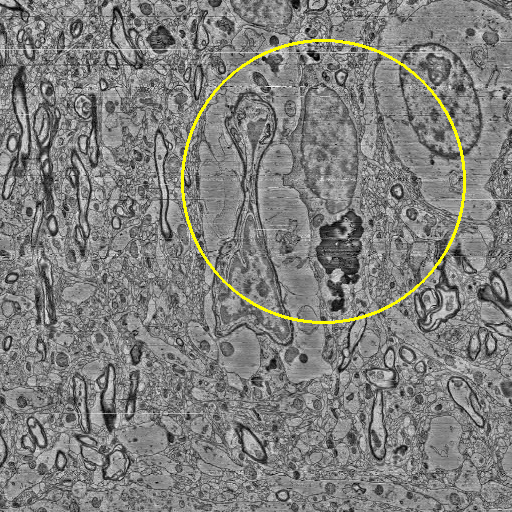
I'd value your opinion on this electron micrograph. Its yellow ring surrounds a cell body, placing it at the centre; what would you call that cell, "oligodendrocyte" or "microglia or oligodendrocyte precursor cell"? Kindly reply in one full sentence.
It is an oligodendrocyte that sits centred within the yellow ring in this micrograph.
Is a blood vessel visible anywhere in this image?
Yes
